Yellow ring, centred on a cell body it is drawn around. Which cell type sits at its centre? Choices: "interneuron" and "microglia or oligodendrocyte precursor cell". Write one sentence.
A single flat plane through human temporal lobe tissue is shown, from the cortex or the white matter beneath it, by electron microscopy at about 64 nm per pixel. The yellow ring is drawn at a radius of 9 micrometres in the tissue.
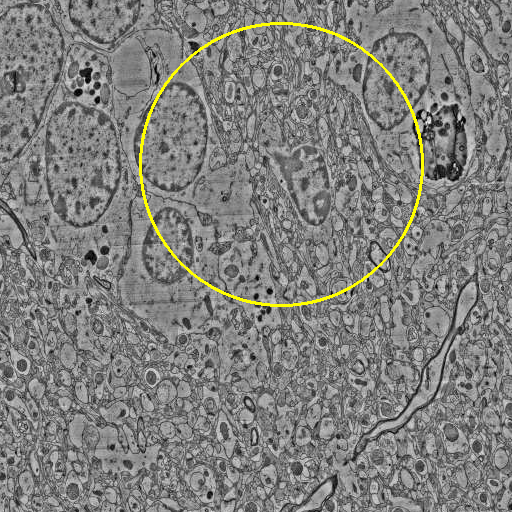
At the centre of the ring sits a microglial cell or oligodendrocyte precursor cell.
